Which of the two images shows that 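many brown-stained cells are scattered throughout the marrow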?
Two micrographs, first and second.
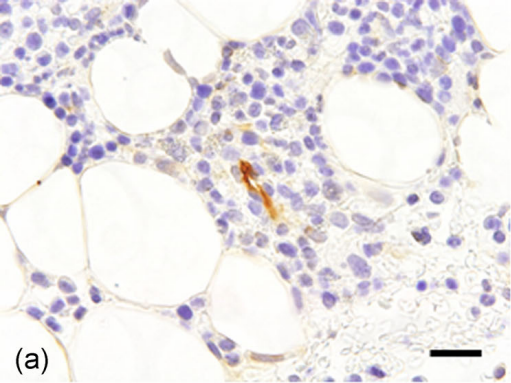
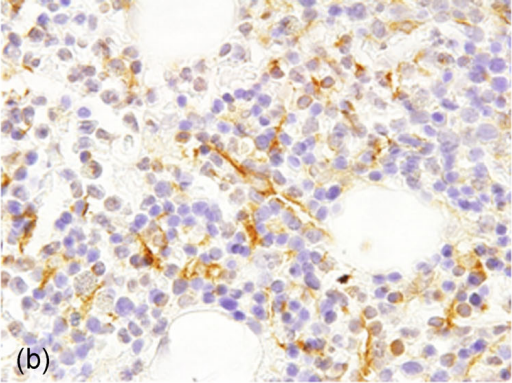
the second image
